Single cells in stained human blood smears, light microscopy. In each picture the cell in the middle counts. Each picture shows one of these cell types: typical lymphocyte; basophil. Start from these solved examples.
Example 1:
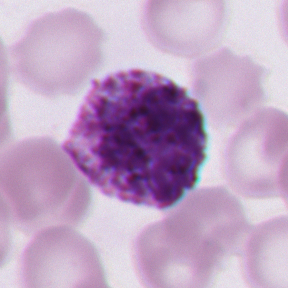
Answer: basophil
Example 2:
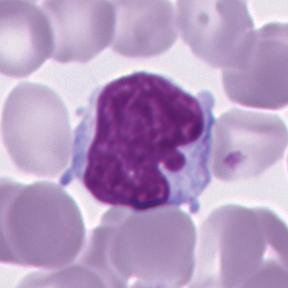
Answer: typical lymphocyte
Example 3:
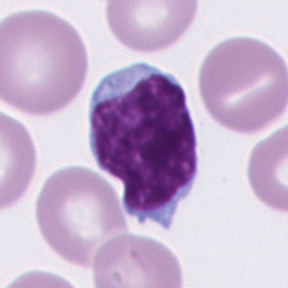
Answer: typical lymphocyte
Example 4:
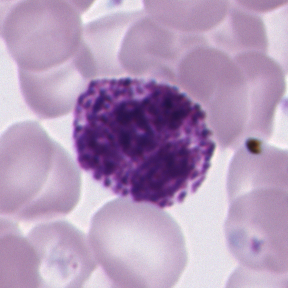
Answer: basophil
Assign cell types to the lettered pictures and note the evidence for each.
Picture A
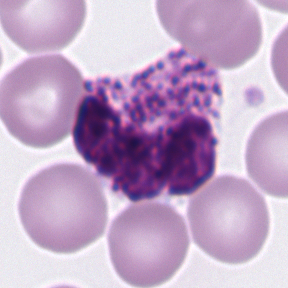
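basophil. The nucleus is divided into several connected lobes.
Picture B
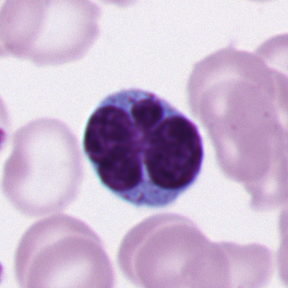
typical lymphocyte. The cytoplasm holds only a few fine purplish specks.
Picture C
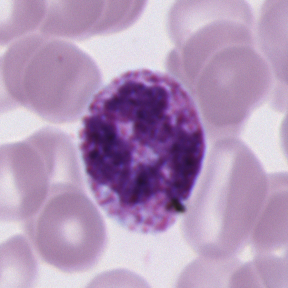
basophil. Coarse reddish-purple granules are scattered through the cytoplasm.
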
